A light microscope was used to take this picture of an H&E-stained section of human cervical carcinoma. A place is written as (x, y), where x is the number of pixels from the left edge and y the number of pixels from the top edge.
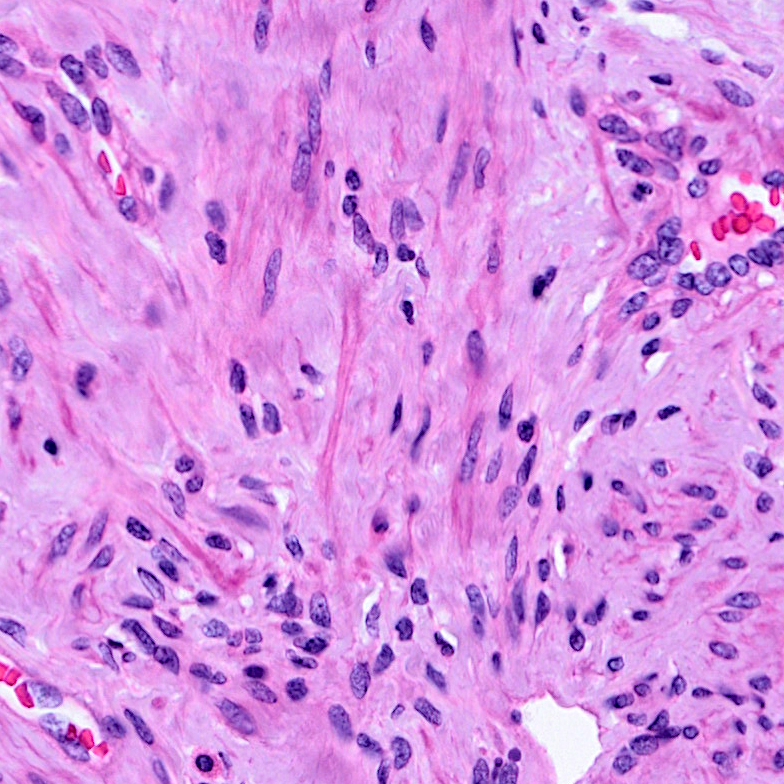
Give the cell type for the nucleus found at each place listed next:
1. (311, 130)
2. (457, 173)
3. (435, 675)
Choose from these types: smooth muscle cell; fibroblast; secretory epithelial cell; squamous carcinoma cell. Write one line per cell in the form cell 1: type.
cell 1: smooth muscle cell
cell 2: smooth muscle cell
cell 3: fibroblast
